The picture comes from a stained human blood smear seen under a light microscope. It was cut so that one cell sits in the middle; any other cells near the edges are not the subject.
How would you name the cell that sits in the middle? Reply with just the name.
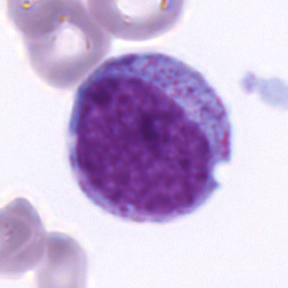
promyelocyte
